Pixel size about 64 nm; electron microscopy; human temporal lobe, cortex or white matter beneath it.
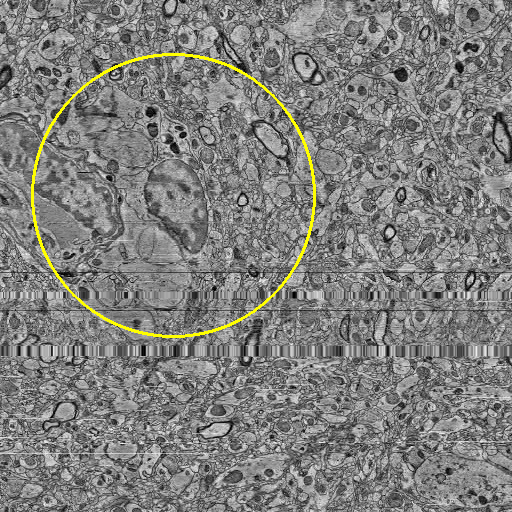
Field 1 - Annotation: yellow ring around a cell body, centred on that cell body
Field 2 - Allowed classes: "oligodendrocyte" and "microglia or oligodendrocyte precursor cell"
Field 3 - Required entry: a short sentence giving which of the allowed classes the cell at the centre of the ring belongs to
The centred cell is a microglial cell or oligodendrocyte precursor cell.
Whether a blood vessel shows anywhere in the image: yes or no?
Yes, a blood vessel shows in the picture.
